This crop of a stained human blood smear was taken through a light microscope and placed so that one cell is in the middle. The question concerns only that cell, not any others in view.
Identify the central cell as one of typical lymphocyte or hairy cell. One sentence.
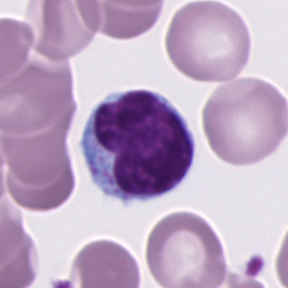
The centrally positioned cell in the crop represents a typical lymphocyte.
